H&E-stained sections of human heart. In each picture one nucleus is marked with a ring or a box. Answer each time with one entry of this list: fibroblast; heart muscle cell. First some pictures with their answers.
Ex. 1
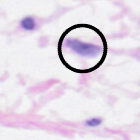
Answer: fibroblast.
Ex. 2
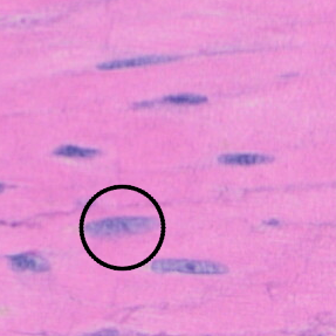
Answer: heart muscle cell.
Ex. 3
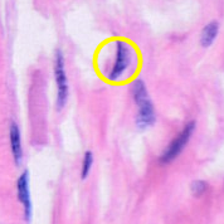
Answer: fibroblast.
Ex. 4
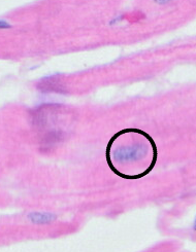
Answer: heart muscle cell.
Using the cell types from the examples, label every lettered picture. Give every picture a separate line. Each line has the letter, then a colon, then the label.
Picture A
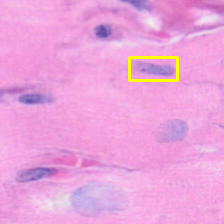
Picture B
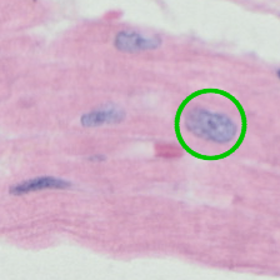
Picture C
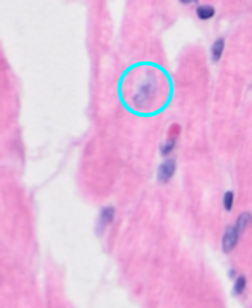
A: heart muscle cell.
B: heart muscle cell.
C: heart muscle cell.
